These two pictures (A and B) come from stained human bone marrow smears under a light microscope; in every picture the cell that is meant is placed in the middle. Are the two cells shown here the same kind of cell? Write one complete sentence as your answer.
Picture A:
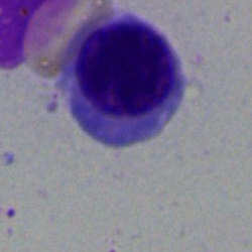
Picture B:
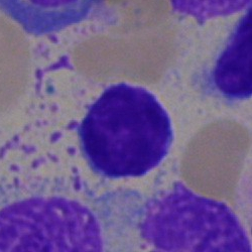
No. Picture A shows an erythroblast, but picture B shows a lymphocyte.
